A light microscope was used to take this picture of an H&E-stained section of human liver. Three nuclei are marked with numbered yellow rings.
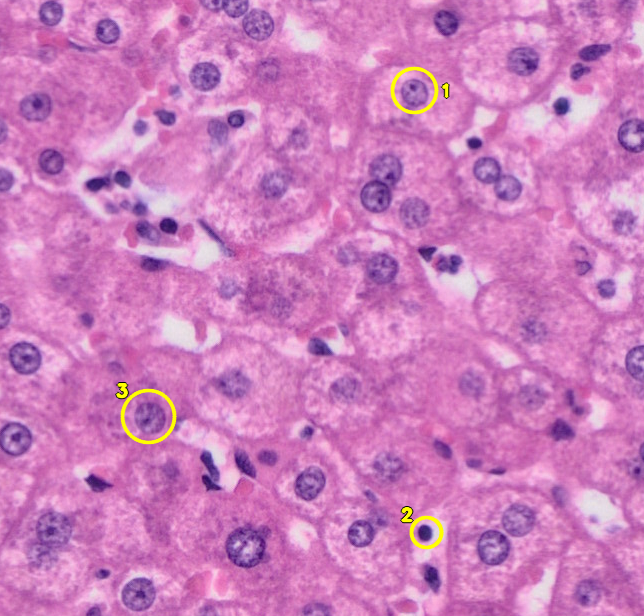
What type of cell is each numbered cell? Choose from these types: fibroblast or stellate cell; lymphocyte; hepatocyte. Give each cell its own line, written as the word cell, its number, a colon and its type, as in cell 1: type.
cell 1: hepatocyte
cell 2: lymphocyte
cell 3: hepatocyte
